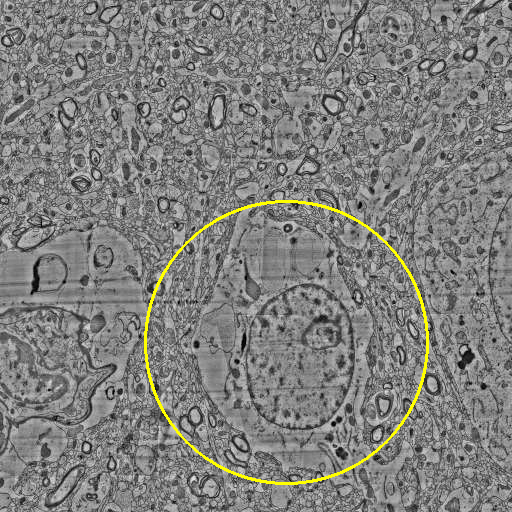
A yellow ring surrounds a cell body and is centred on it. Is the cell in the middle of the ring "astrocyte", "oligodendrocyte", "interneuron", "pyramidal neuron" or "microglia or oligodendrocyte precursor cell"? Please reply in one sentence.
The ring is centred on an astrocyte.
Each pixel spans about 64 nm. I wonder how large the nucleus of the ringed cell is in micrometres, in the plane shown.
In this plane, the nucleus is roughly 9 by 7 micrometres.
